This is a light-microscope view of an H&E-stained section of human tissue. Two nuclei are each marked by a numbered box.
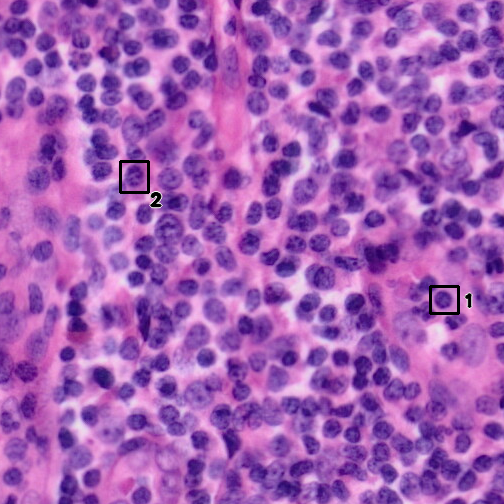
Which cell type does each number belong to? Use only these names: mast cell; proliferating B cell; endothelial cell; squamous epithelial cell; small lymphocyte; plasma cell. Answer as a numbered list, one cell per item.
1. endothelial cell
2. plasma cell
